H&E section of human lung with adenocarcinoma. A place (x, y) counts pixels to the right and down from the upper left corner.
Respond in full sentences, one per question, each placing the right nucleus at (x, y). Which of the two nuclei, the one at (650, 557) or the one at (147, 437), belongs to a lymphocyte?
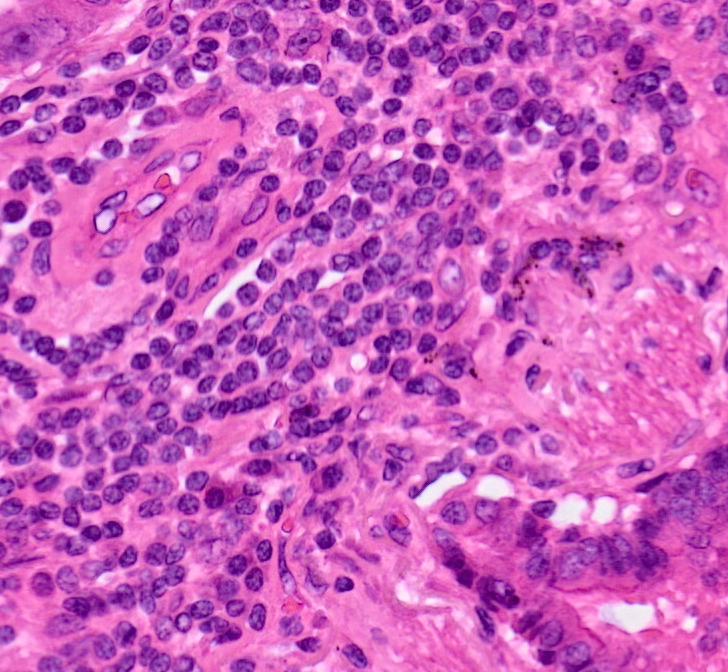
The nucleus found at (147, 437) belongs to a lymphocyte.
